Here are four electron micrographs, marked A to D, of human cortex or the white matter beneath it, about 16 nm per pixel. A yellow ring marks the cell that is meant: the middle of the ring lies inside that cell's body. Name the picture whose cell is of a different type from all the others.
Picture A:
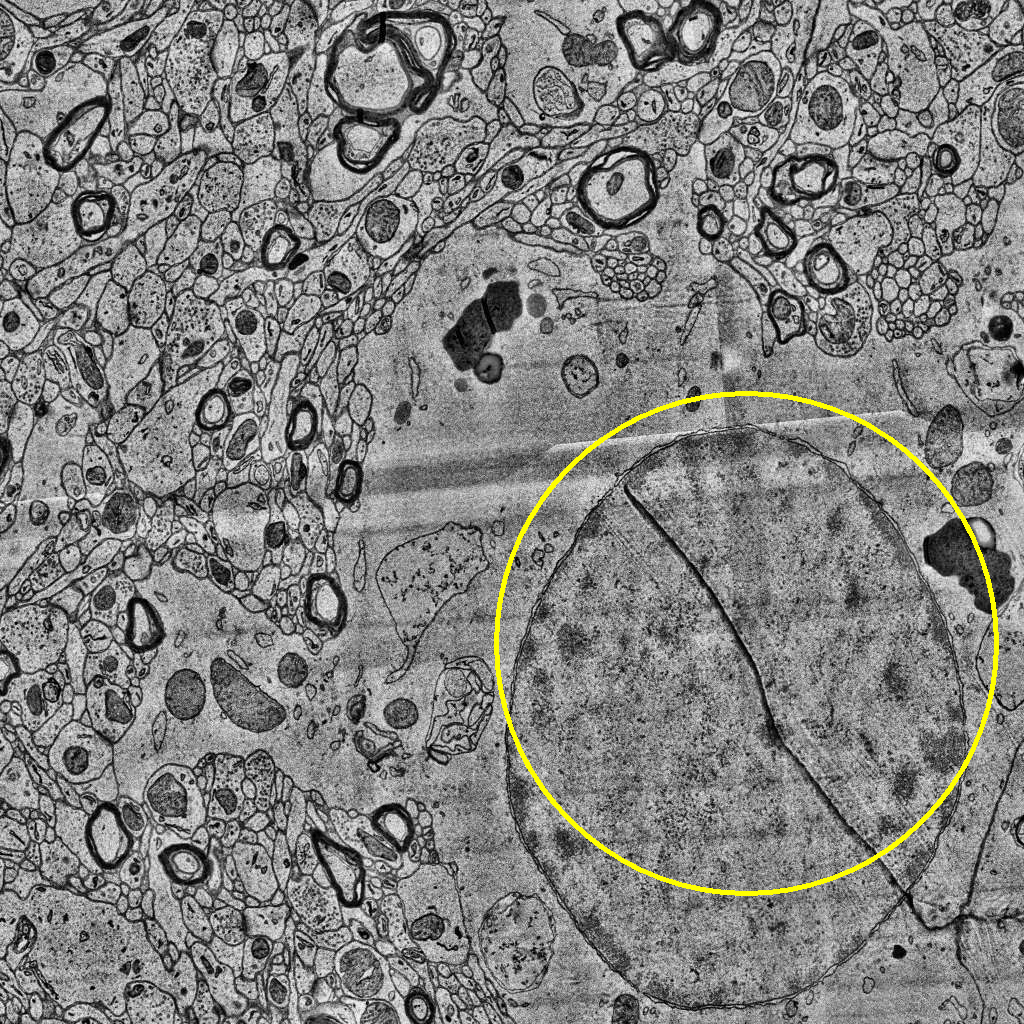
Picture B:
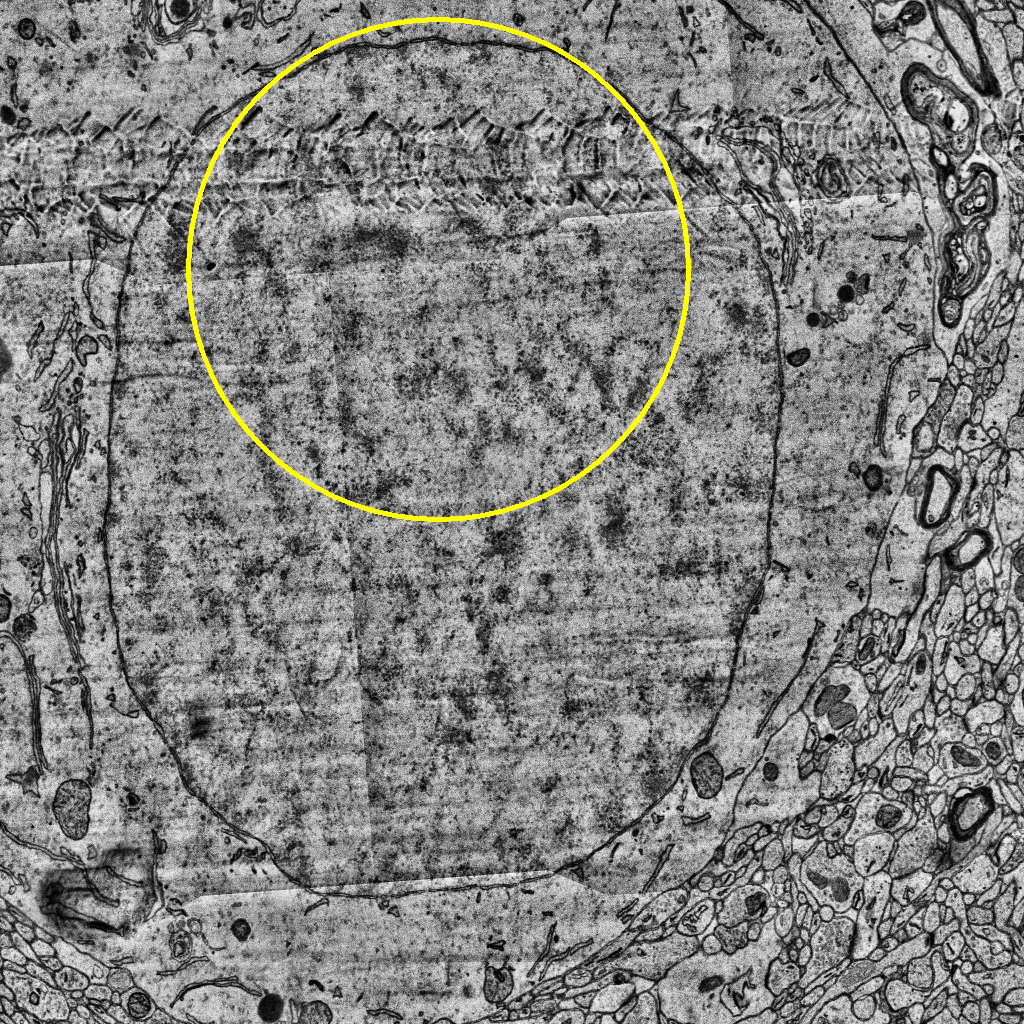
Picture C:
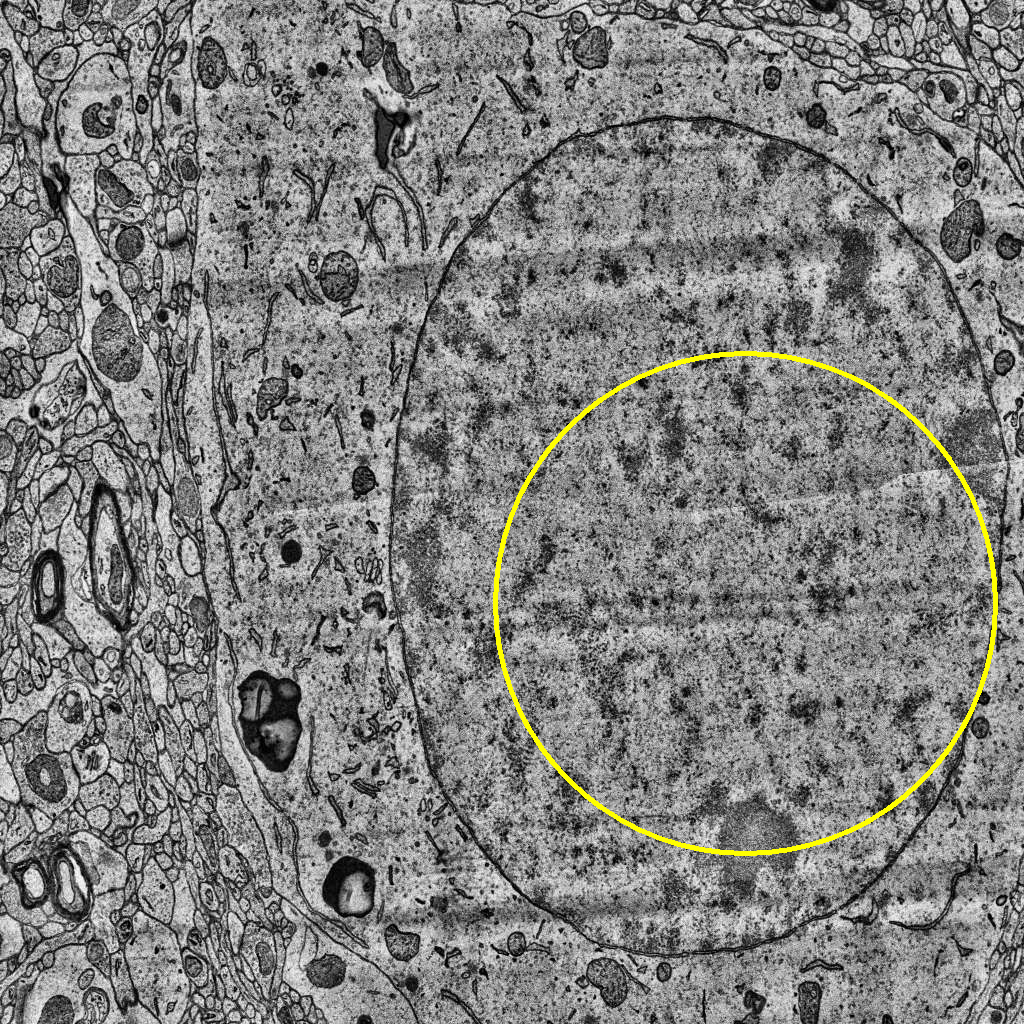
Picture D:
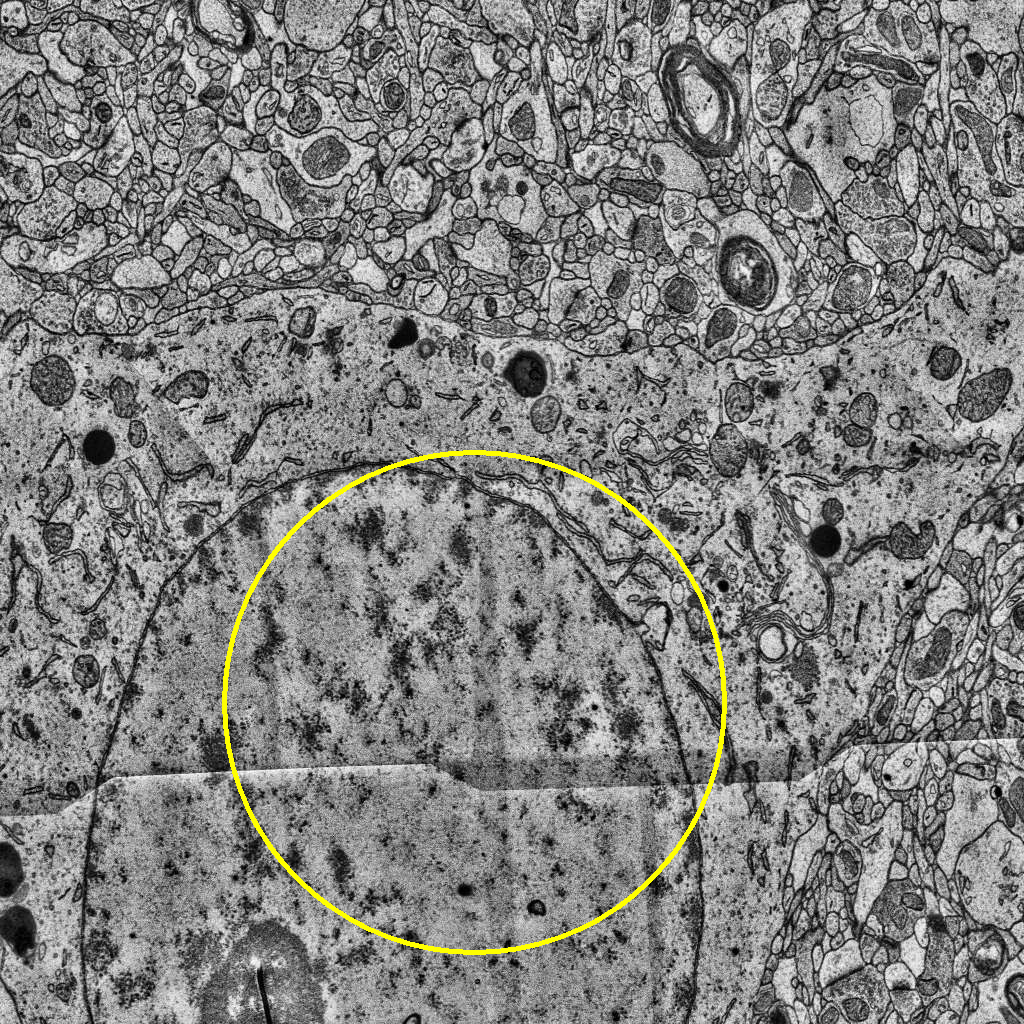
Unlike the rest, which show pyramidal neurons, picture A shows an astrocyte.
